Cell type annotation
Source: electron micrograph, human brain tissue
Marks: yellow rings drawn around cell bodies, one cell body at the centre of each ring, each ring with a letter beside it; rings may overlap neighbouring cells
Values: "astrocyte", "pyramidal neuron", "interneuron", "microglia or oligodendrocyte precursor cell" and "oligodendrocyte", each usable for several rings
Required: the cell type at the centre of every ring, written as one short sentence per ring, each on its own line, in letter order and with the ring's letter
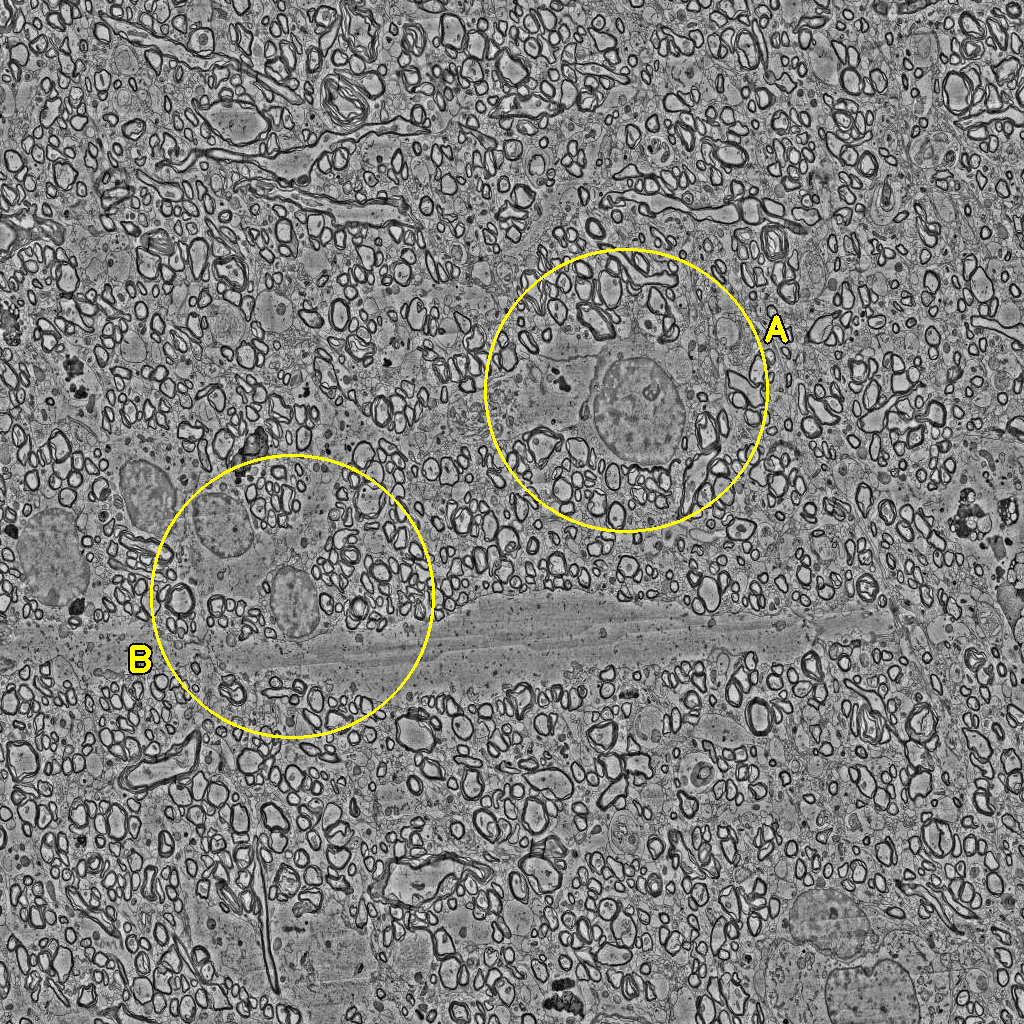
Ring A is annotated as an oligodendrocyte.
Ring B is annotated as an oligodendrocyte.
